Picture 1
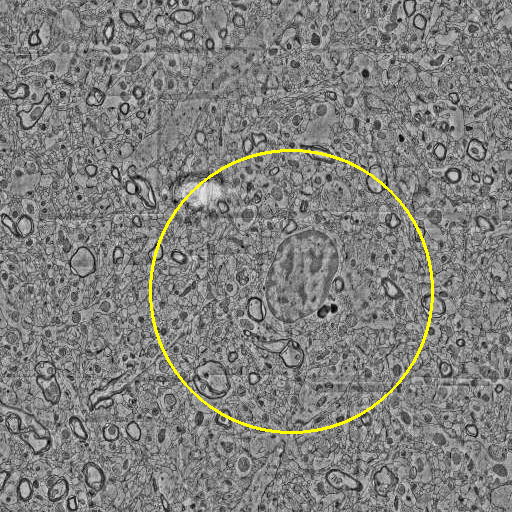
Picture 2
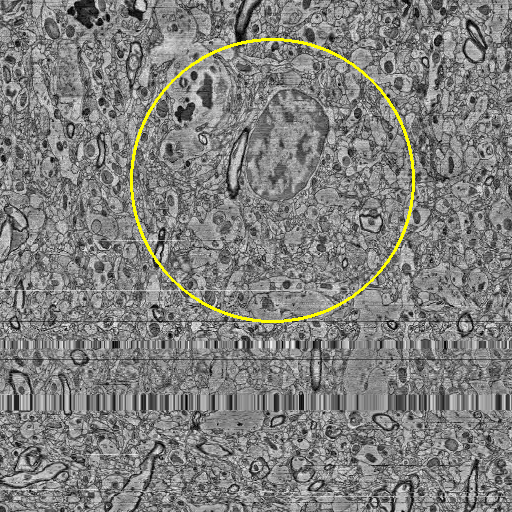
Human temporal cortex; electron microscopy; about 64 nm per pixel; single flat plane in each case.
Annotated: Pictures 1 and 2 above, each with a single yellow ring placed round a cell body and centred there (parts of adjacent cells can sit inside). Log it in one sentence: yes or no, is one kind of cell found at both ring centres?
Yes, the ring centres of the two pictures hold cells of one kind.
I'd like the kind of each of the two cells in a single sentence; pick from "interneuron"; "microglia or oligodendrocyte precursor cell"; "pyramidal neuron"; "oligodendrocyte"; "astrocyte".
Both pictures show a microglial cell or oligodendrocyte precursor cell at the centre of the ring.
